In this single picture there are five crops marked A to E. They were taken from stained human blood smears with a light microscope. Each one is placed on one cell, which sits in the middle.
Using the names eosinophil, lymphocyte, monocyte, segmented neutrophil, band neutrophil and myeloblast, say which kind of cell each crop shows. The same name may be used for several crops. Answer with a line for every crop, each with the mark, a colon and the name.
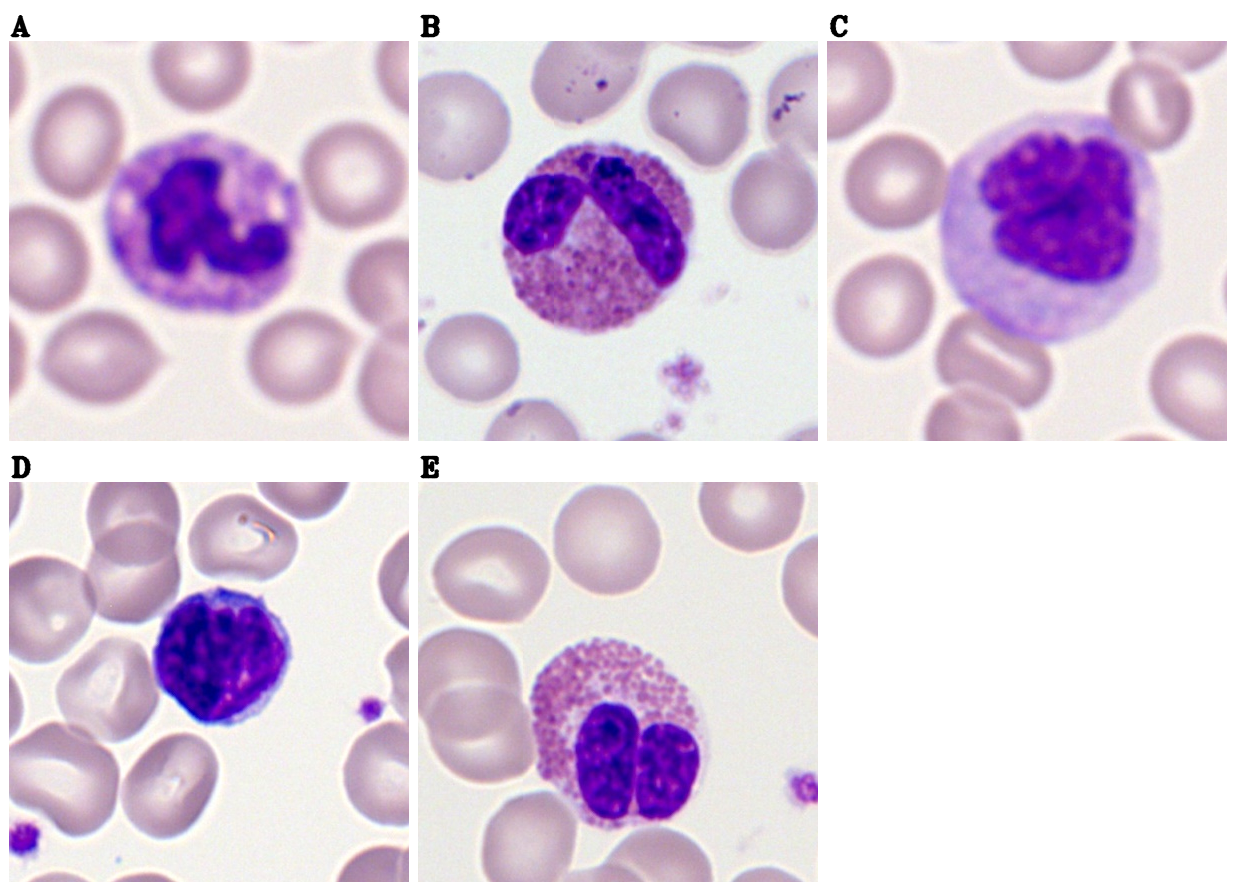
A: segmented neutrophil
B: eosinophil
C: monocyte
D: lymphocyte
E: eosinophil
